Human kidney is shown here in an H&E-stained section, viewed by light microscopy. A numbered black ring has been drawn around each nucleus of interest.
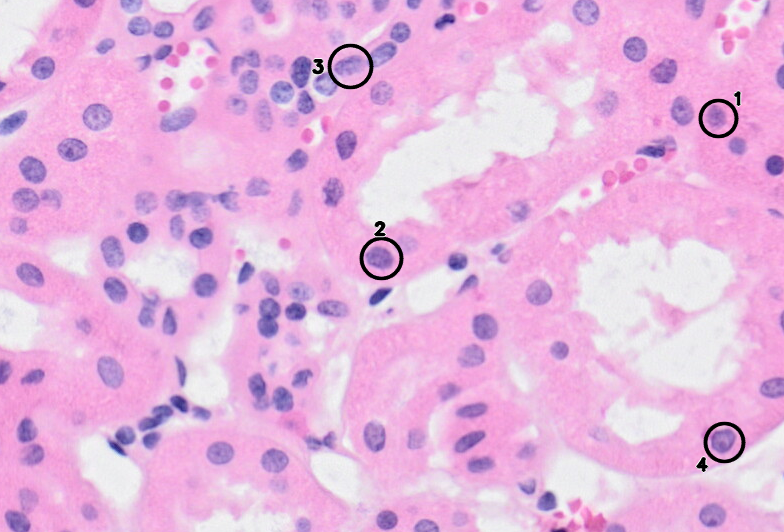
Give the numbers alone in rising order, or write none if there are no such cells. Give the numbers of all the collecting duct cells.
3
